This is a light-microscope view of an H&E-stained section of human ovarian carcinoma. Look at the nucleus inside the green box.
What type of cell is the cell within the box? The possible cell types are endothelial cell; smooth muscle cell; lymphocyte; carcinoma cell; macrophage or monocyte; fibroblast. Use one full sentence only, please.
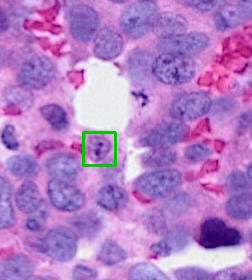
The category to which the cell within the box belongs is that of a macrophage or monocyte.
